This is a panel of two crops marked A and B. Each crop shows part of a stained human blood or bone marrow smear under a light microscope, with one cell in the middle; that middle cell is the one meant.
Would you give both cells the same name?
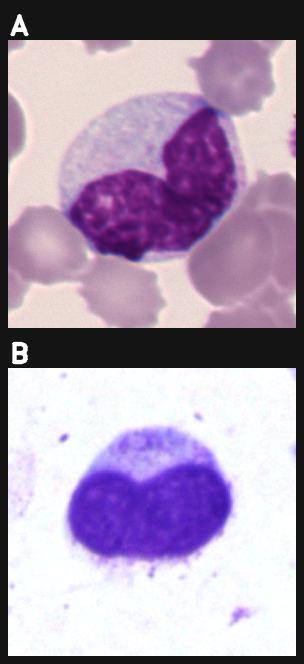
no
